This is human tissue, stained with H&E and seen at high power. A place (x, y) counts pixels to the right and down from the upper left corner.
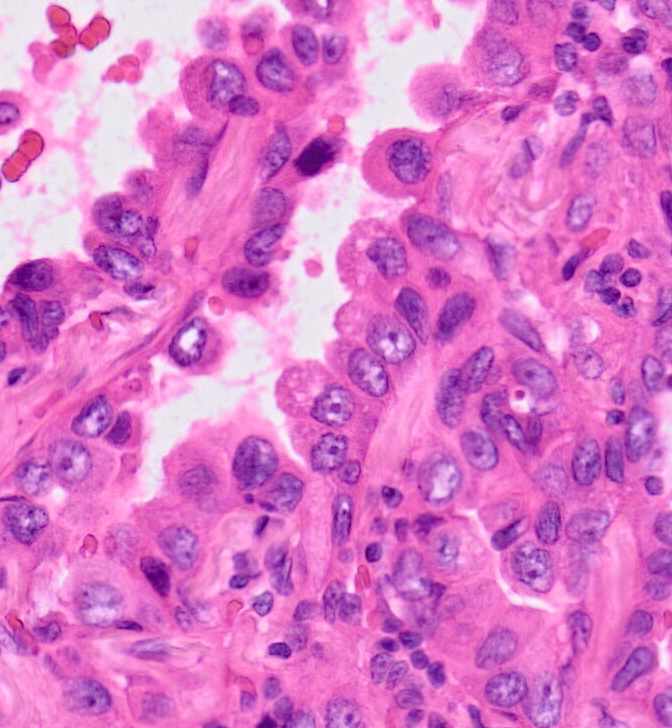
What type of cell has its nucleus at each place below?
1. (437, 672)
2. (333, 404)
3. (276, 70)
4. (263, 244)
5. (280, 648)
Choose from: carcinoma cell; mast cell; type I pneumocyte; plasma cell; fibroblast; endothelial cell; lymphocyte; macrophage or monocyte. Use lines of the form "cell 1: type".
cell 1: lymphocyte
cell 2: carcinoma cell
cell 3: carcinoma cell
cell 4: carcinoma cell
cell 5: lymphocyte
